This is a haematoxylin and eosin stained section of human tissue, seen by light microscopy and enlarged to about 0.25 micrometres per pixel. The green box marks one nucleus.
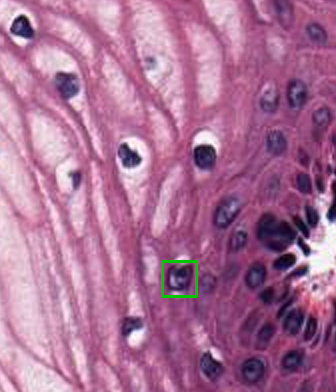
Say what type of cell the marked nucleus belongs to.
squamous epithelial cell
